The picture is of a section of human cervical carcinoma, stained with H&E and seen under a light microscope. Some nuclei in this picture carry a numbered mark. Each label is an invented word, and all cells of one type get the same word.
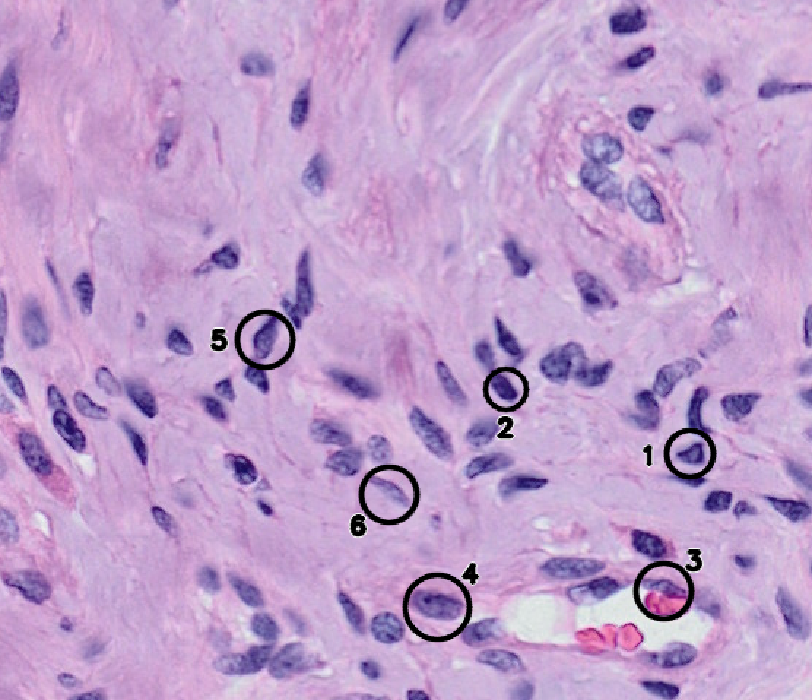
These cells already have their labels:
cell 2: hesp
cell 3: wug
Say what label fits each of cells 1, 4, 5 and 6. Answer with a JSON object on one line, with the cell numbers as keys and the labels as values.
{"1": "hesp", "4": "wug", "5": "hesp", "6": "hesp"}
